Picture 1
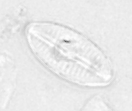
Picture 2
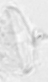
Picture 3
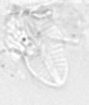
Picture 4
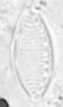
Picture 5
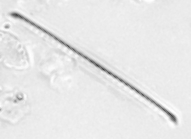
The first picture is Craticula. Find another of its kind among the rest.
Picture 3.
